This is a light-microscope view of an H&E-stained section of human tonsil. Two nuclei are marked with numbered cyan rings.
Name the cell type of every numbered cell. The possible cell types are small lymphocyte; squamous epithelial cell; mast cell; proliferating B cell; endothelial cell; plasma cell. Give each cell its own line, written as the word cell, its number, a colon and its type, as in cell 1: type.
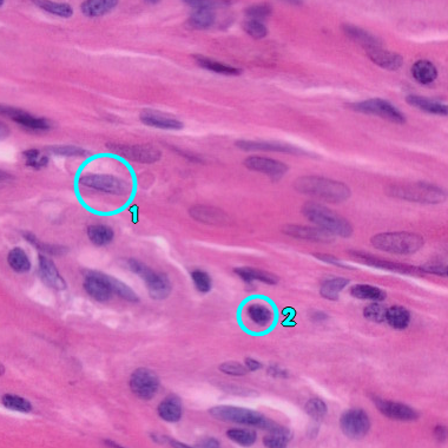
cell 1: endothelial cell
cell 2: mast cell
